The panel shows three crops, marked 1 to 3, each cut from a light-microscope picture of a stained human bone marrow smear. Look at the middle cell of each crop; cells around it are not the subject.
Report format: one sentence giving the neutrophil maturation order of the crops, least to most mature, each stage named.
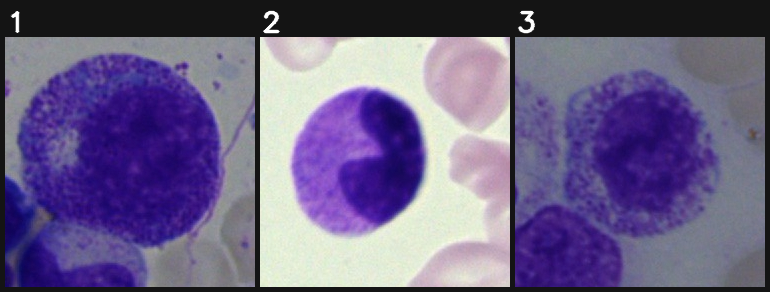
Lined up by maturity, least mature to most mature, they are crop 1 (a promyelocyte), crop 3 (a myelocyte) and crop 2 (a band neutrophil).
